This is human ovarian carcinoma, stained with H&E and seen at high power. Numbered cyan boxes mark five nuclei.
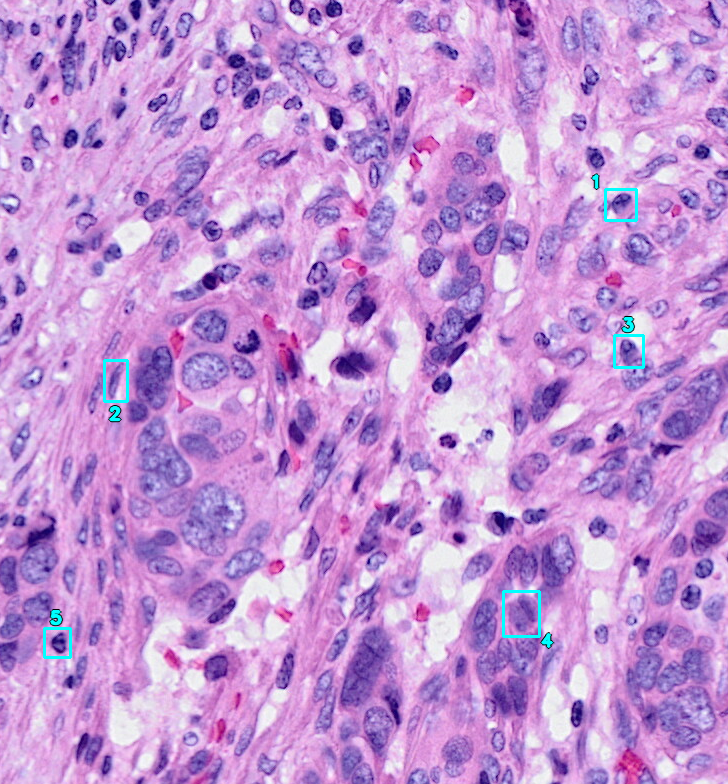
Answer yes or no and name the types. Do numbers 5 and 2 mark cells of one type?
No, the cell labelled 5 is a lymphocyte; the cell labelled 2 is a fibroblast.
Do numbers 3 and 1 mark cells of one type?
Yes, cells 3 and 1 are lymphocytes, the two of them alike.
